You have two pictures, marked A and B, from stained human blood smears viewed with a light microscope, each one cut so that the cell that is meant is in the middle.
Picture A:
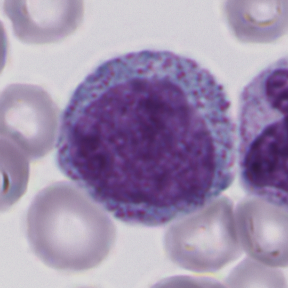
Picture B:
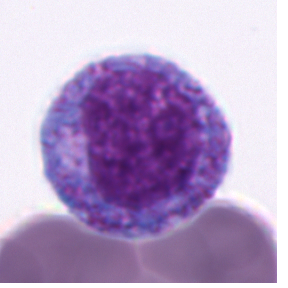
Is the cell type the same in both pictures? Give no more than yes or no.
yes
